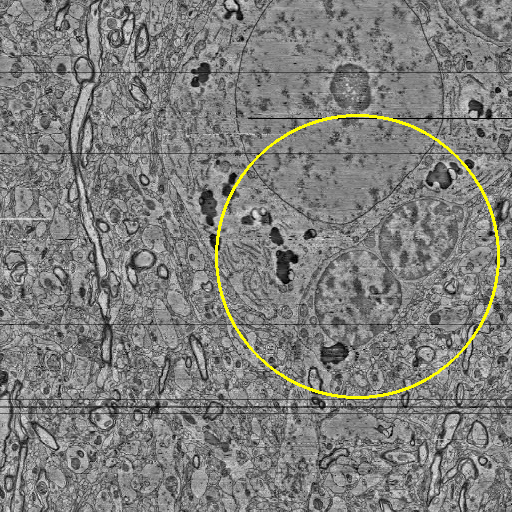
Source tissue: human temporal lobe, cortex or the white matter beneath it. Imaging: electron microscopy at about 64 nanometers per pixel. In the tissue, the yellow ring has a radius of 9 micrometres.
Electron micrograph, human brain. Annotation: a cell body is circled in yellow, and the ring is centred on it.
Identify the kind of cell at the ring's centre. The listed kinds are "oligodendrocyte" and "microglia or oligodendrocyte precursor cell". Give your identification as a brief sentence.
The circled cell body is that of an oligodendrocyte.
